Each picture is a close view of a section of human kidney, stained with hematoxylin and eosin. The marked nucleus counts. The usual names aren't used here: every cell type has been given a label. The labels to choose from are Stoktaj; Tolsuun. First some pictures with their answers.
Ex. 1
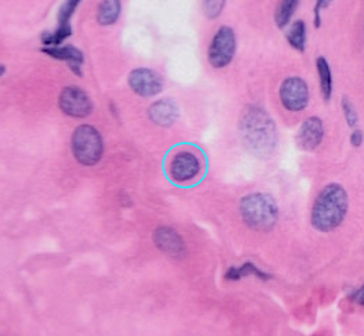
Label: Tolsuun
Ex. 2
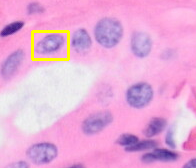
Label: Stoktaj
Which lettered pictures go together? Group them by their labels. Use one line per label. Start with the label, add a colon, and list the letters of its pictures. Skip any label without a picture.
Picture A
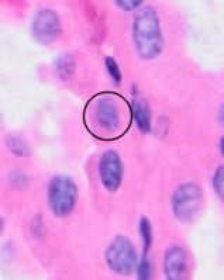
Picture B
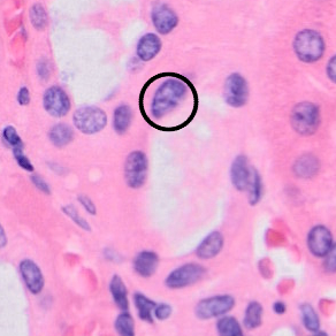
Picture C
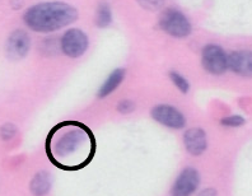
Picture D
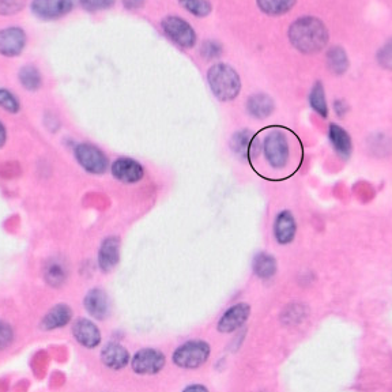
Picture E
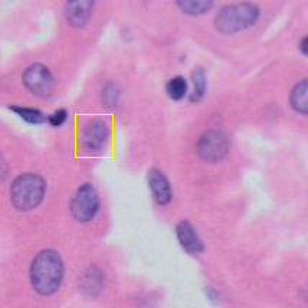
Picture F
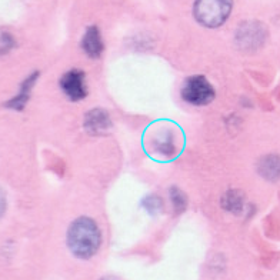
Stoktaj: B, C, D
Tolsuun: A, E, F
